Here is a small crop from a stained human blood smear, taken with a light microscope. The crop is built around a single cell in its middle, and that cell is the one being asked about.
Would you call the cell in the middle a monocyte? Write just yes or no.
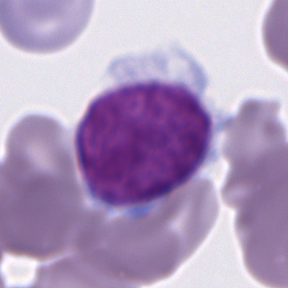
no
